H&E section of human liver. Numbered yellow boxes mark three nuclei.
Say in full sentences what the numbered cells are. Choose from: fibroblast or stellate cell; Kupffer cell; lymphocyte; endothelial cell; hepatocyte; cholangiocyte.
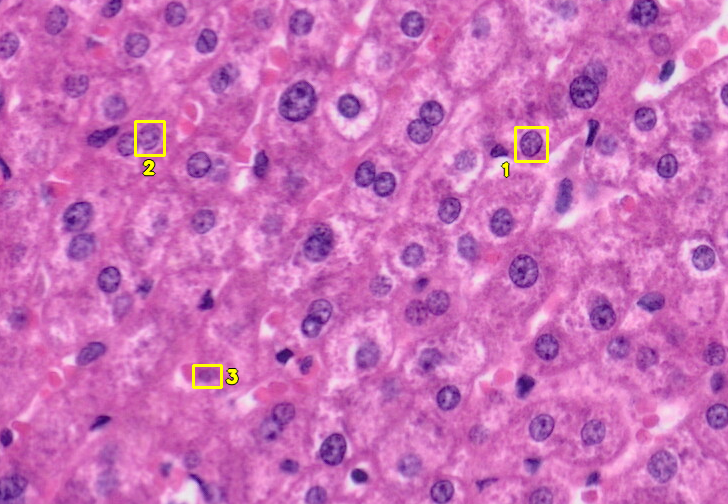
Cells 1 and 2 are hepatocytes. Cell 3 is a Kupffer cell.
